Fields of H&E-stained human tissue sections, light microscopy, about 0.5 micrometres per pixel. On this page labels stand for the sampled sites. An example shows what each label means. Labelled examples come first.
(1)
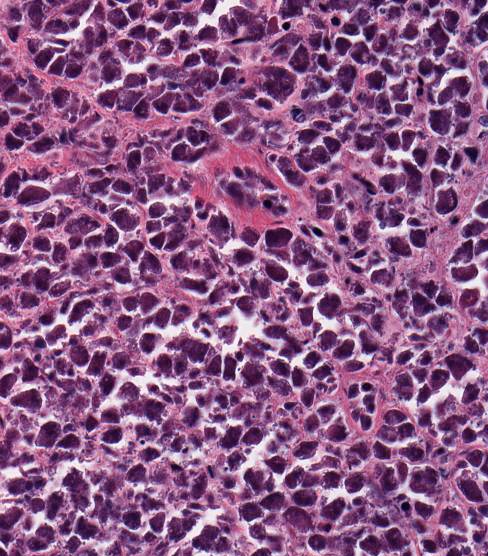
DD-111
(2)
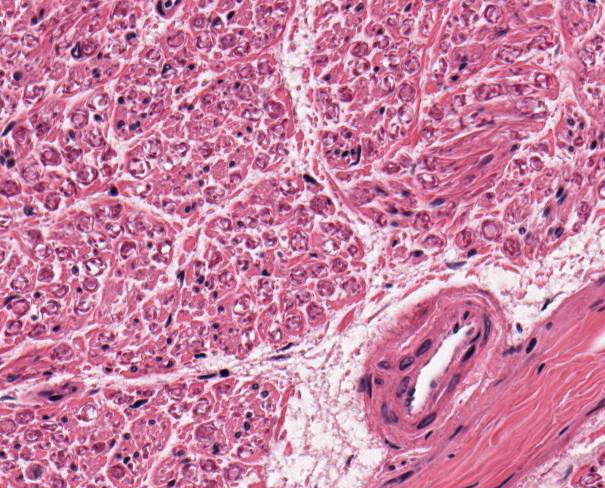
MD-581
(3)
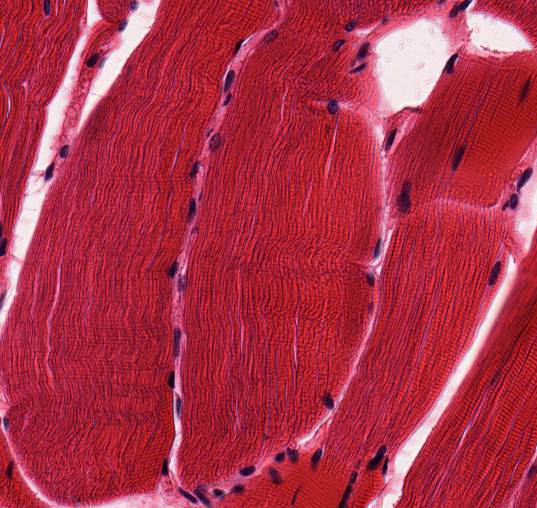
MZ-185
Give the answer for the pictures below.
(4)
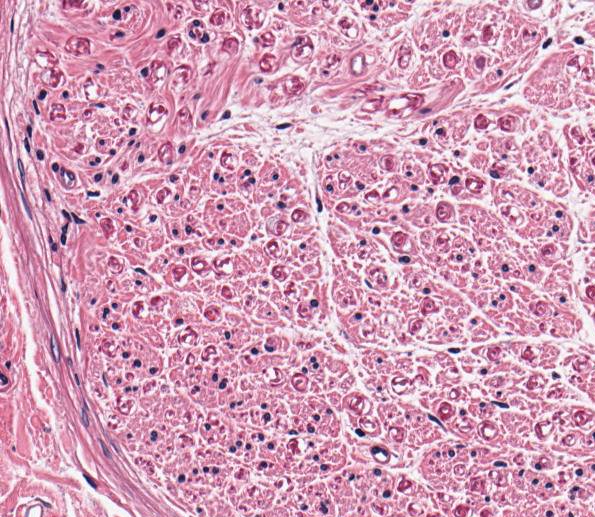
MD-581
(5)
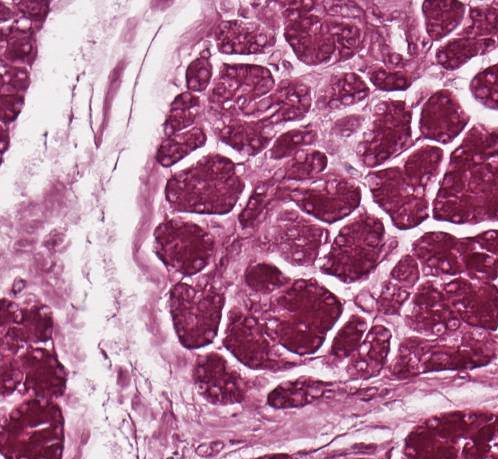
DD-111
